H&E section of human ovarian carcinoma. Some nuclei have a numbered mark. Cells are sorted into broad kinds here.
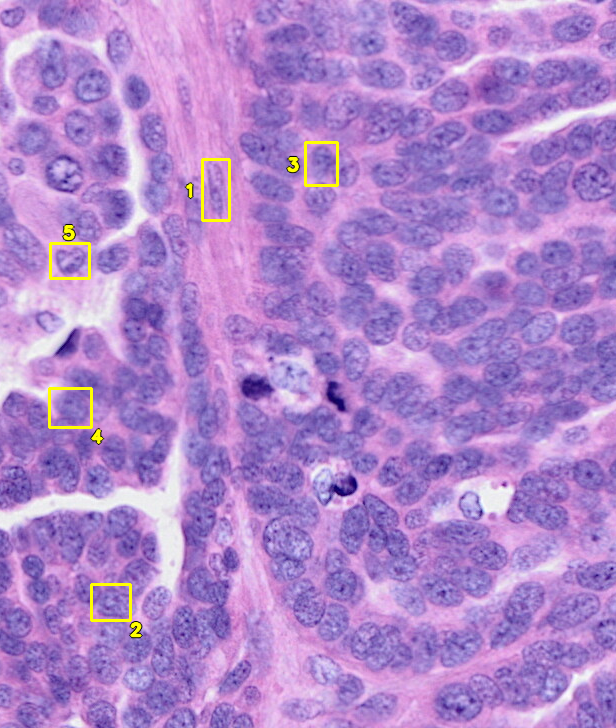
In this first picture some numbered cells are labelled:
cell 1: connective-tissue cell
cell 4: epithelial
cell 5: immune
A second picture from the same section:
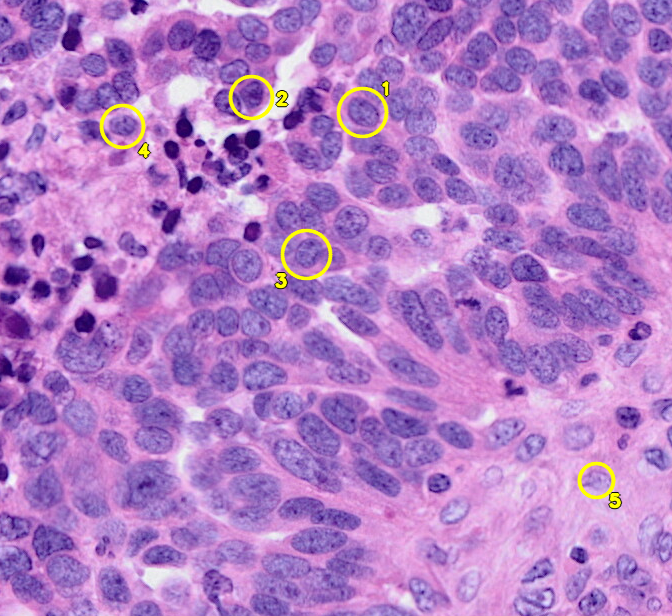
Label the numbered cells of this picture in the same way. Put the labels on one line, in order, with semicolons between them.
epithelial; epithelial; epithelial; immune; connective-tissue cell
